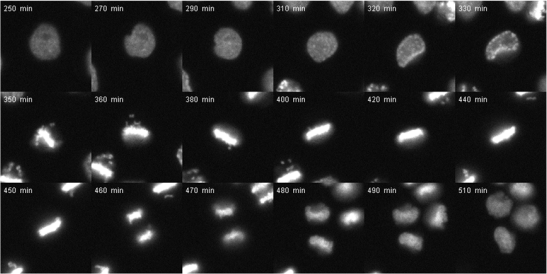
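In the first frames the nucleus is round with evenly spread, finely grained chromatin. The chromatin then condenses into distinct bright threads and clumps, and soon the chromosomes gather into a single tight bright bar, the metaphase plate, seen across several frames. The bar then splits into two parallel sets of chromosomes that move apart. Each set quickly loosens into a rounded, evenly stained daughter nucleus.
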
